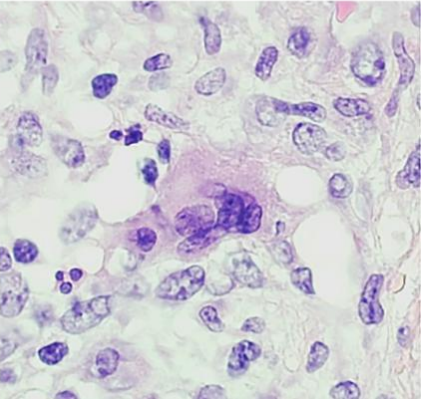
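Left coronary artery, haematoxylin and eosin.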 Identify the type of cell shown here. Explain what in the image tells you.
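A single large cell in the centre with abundant pink cytoplasm. Its several nuclei are clustered together. It is much larger than the surrounding cells. So: giant cells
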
